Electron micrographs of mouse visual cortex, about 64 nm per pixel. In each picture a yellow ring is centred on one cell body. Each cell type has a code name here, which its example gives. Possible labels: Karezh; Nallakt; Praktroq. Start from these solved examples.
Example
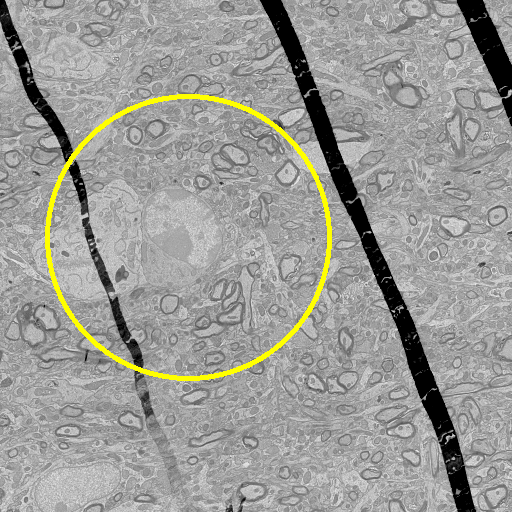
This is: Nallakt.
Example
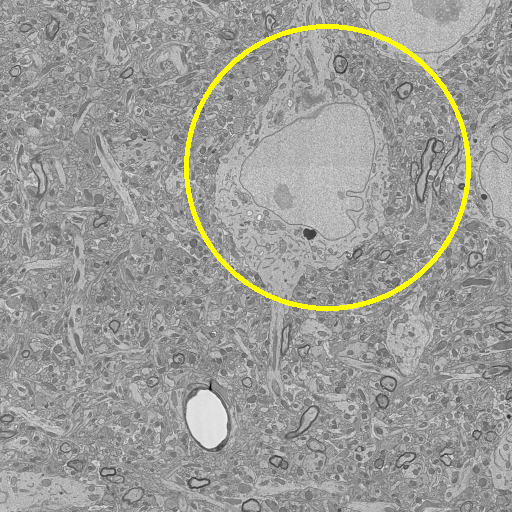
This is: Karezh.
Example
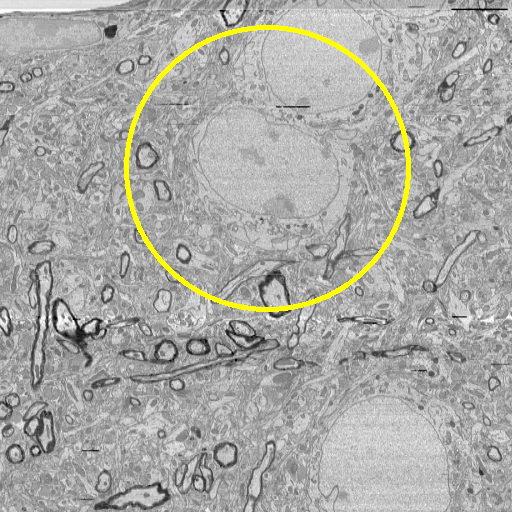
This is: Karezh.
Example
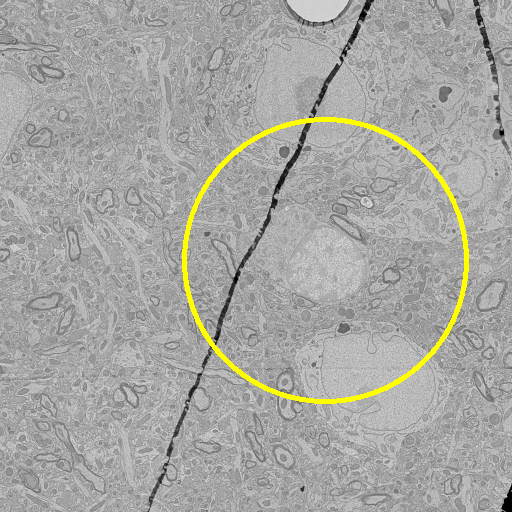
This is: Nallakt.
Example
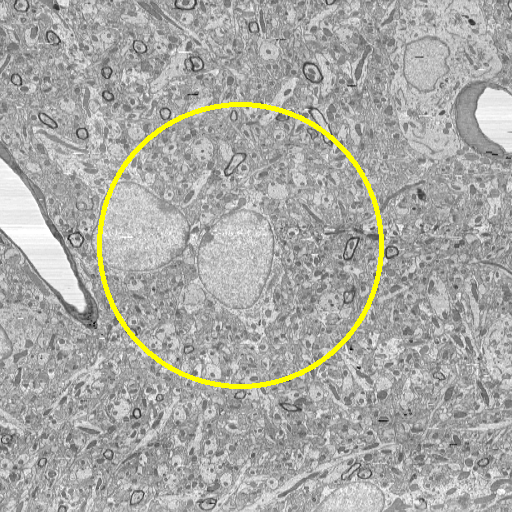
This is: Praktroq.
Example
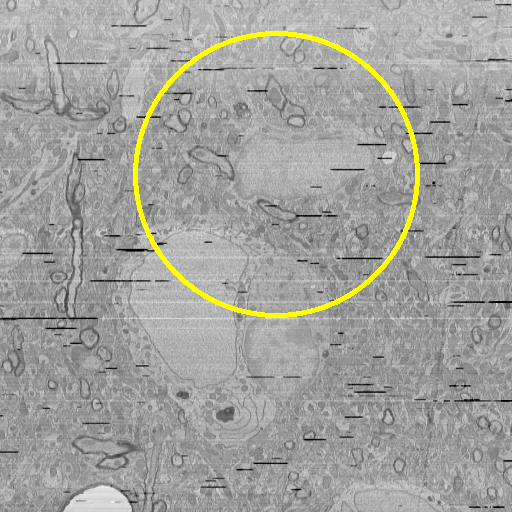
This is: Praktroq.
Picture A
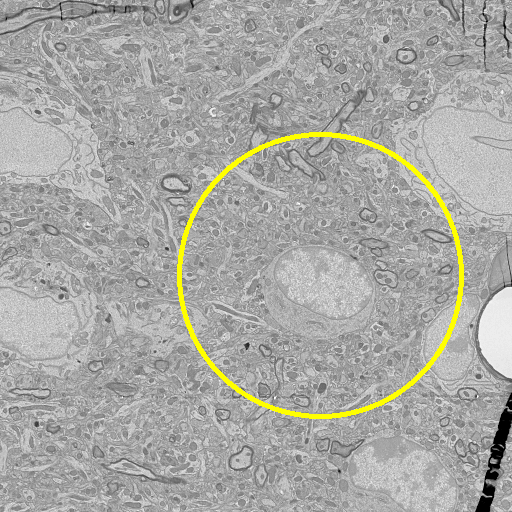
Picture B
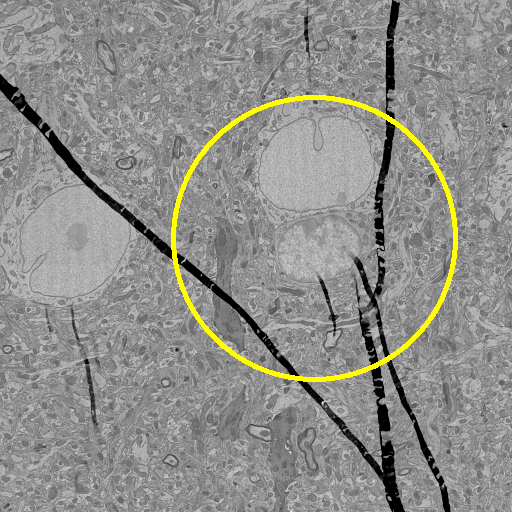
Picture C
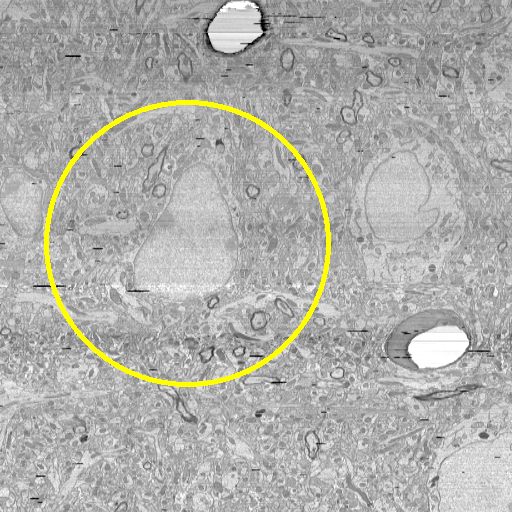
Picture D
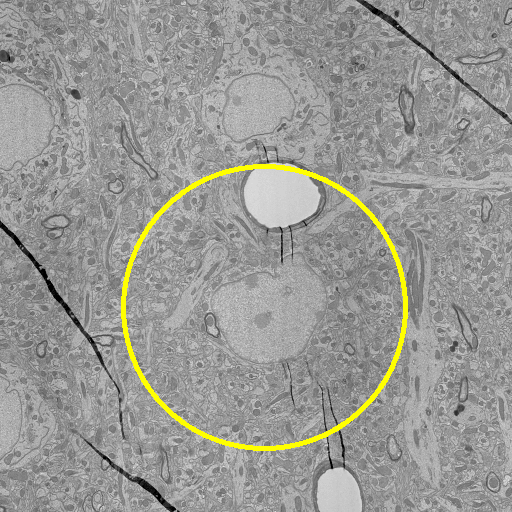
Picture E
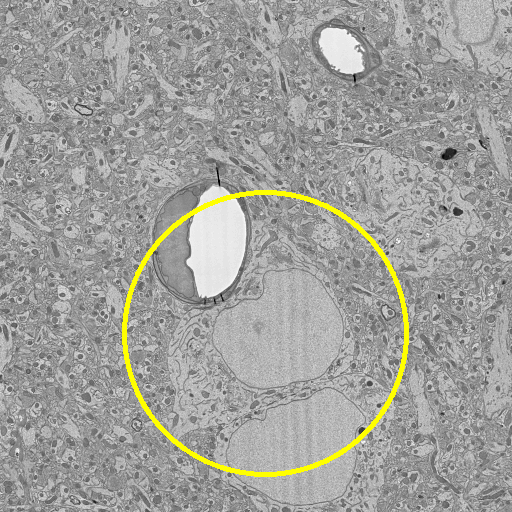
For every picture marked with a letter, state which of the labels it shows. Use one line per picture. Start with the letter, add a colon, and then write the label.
A: Nallakt.
B: Nallakt.
C: Praktroq.
D: Praktroq.
E: Karezh.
